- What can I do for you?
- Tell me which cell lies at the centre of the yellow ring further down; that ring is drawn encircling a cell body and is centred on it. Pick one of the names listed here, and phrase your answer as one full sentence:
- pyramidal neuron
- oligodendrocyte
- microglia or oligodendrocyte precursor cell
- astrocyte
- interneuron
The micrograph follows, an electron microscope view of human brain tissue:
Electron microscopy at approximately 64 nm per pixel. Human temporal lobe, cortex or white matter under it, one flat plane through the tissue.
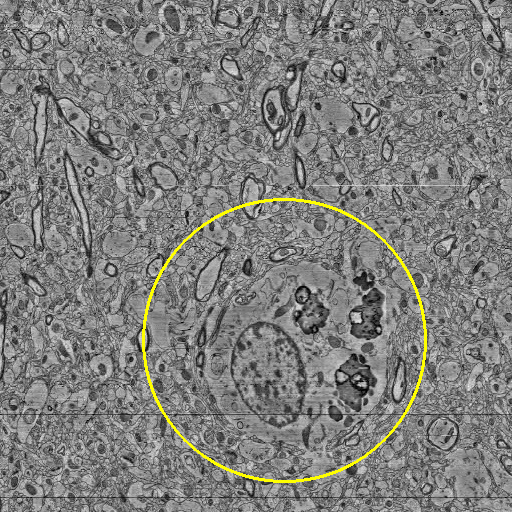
The cell whose body lies at the centre of the yellow ring is an astrocyte.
